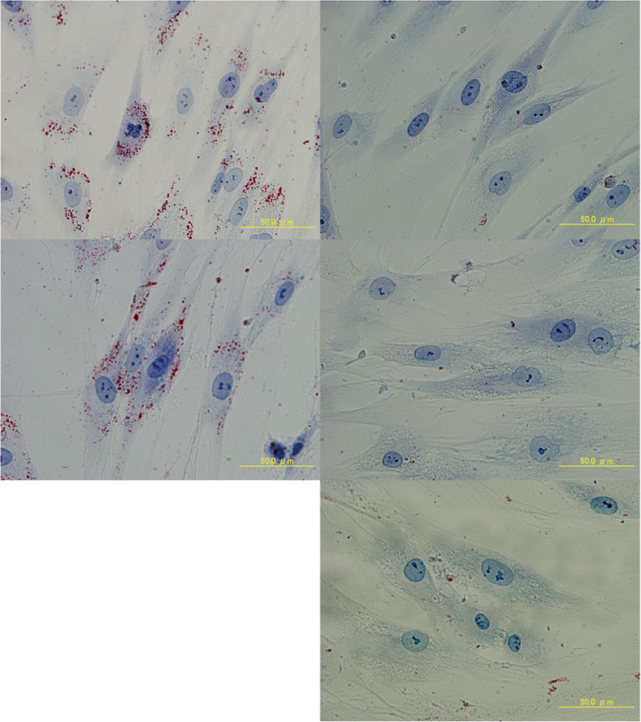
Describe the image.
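In the cells of the left column, the cytoplasm is filled with many small red-stained droplets, gathered especially around the nuclei and along the length of the cells. In the right column, the cells are of the same shape and size but their cytoplasm is pale and almost free of red droplets, with only a few scattered specks. Apart from the droplets, the cell outlines and nuclei look much alike in both columns.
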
